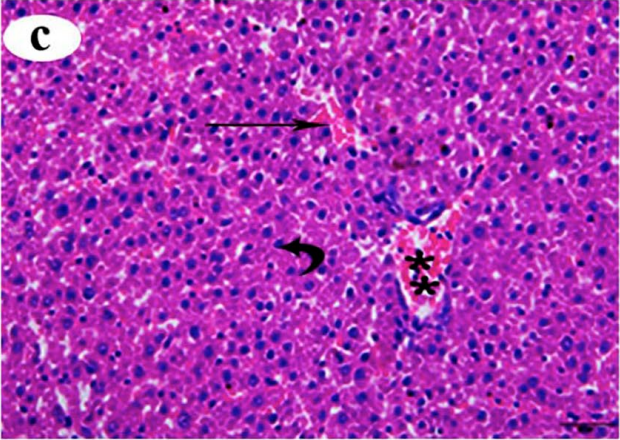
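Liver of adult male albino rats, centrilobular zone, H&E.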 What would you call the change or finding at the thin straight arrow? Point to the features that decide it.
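Red blood cells pack a narrow space between hepatocyte cords at the arrow tip.
Answer: blood congestion of hepatic sinusoids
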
